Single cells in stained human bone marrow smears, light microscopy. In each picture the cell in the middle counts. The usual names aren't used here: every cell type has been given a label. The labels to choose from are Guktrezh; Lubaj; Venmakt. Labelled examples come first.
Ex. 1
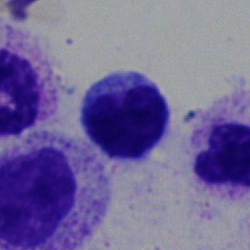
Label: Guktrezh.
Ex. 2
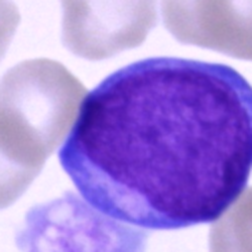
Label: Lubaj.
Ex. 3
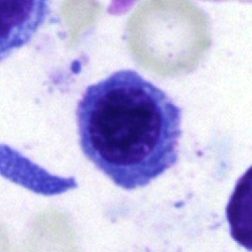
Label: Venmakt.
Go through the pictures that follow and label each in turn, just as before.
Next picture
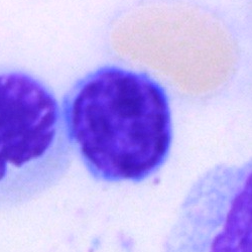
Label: Guktrezh.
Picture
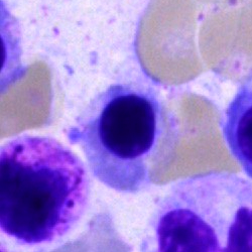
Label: Venmakt.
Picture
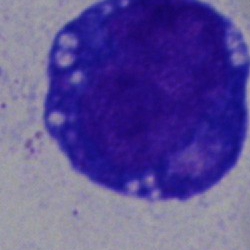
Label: Lubaj.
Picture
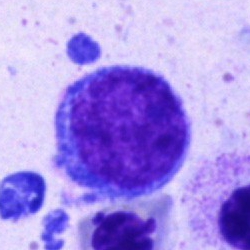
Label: Lubaj.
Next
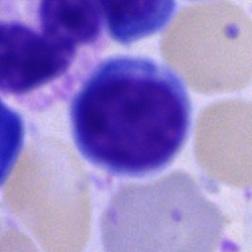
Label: Guktrezh.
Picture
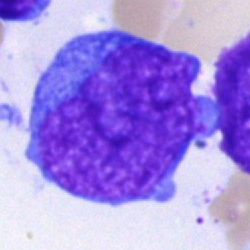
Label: Lubaj.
